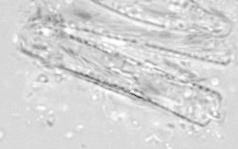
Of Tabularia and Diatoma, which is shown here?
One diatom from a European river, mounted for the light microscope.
Tabularia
